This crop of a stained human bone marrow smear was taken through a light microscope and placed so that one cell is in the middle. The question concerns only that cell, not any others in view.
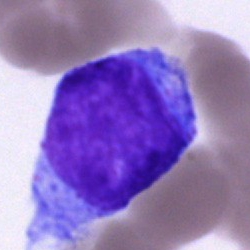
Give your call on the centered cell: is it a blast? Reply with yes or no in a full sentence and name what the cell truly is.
Yes, the cell that the crop is centred on is a blast.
